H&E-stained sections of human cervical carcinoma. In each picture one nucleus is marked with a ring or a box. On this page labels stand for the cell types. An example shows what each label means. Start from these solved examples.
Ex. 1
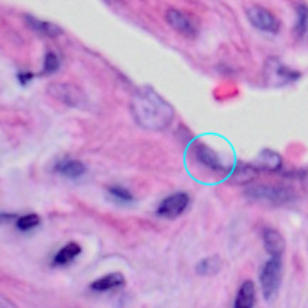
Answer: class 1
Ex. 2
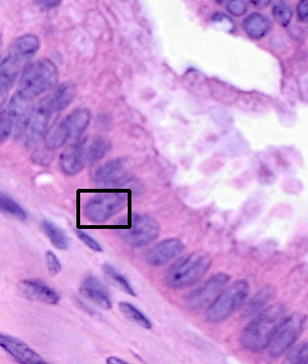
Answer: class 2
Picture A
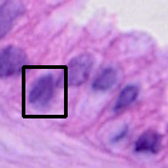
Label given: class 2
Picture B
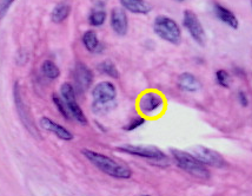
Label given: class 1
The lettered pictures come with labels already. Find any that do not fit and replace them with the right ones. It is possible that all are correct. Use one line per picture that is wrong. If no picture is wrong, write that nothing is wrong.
None of the labels needs changing.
